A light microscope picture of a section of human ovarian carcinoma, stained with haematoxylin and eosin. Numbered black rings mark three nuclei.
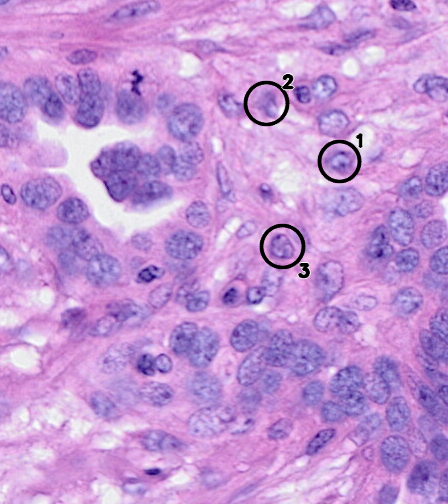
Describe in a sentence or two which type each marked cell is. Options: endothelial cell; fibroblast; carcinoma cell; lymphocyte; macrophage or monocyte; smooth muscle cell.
Cells 1 and 2 are fibroblasts. Cell 3 is a macrophage or monocyte.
